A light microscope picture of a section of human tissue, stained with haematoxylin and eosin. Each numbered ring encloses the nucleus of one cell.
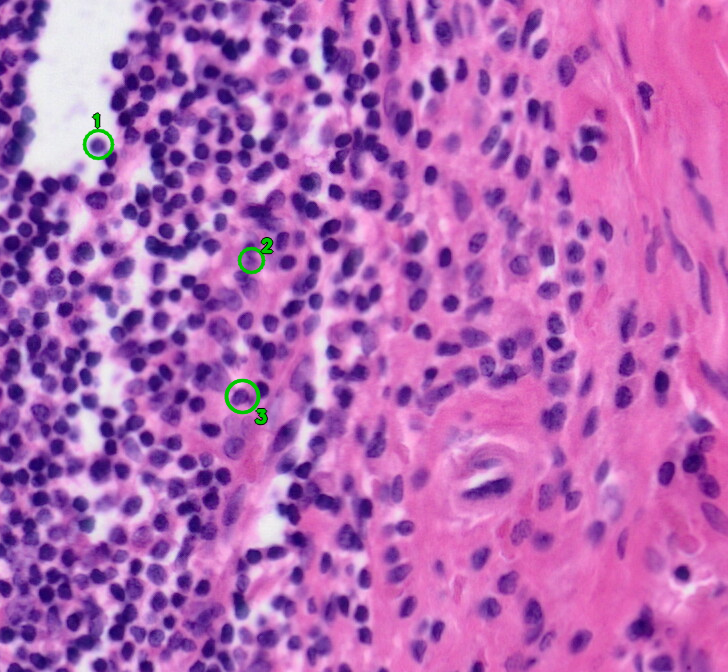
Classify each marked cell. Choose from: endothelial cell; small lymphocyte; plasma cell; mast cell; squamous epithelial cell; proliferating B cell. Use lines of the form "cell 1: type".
cell 1: small lymphocyte
cell 2: endothelial cell
cell 3: endothelial cell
